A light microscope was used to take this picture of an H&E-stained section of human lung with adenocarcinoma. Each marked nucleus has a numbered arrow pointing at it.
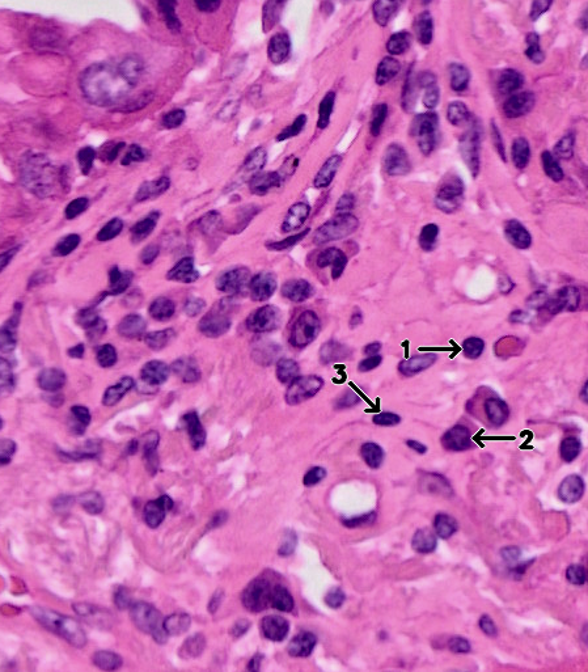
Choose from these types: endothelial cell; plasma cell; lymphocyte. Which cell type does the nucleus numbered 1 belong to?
lymphocyte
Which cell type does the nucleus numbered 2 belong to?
plasma cell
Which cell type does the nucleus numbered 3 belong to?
lymphocyte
